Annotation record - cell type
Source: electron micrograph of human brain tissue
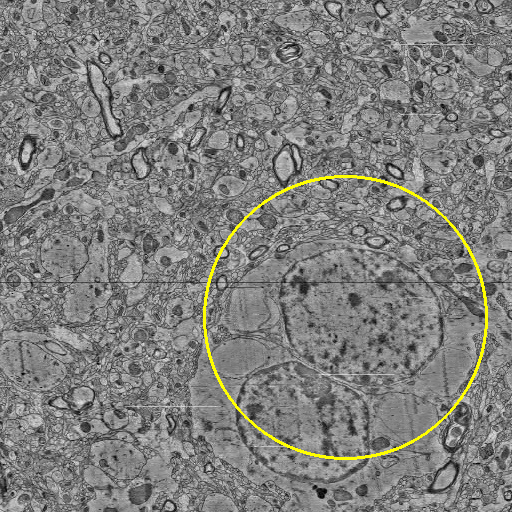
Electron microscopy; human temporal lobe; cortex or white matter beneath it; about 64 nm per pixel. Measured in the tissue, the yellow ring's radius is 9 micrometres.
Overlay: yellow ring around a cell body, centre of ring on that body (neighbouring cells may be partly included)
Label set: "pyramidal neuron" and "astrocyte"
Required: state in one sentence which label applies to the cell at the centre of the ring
This cell should be labelled as an astrocyte.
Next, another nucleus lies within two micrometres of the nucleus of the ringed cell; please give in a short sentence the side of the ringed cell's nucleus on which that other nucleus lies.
The other one is to the lower left of it.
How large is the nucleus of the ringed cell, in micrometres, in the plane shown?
The ringed cell's nucleus is about 11 micrometres long and 9 micrometres wide in this plane.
